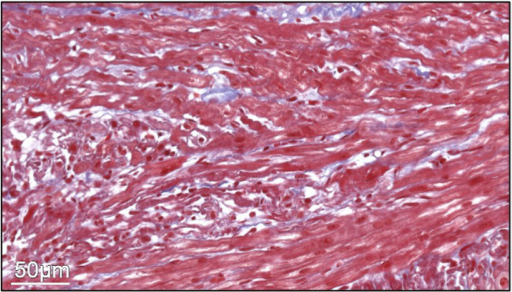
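This section of heart muscle shows red-stained cardiomyocytes arranged in bundles. The bundles run mostly diagonally across the field. Between the muscle fibres lie pale, loose areas with strands of blue collagen. Small dark nuclei are scattered through the fibres and the interstitium. In places the fibres appear disorganised and separated by these pale, blue-tinged spaces.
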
